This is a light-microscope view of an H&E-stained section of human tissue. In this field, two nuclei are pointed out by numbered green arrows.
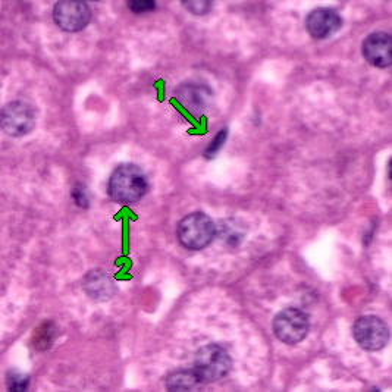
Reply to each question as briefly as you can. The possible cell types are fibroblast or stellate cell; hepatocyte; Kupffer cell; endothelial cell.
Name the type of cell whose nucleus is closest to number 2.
fibroblast or stellate cell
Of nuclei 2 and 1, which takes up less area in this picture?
1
